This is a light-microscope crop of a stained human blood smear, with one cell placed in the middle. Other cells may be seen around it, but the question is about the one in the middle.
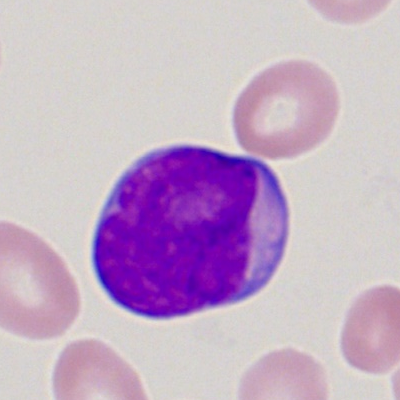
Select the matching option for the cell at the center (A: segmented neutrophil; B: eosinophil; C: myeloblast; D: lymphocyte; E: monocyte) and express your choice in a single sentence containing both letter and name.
Here the central cell is a myeloblast, and option C is correct.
